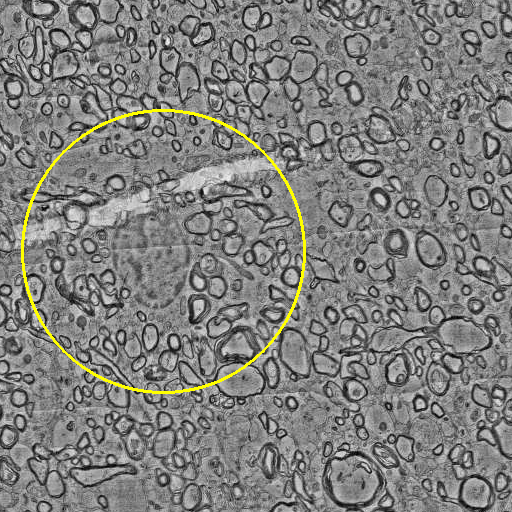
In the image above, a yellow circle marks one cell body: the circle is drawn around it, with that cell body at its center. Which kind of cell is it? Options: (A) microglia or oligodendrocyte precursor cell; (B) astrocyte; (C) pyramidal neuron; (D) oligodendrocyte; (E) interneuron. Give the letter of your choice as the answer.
D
